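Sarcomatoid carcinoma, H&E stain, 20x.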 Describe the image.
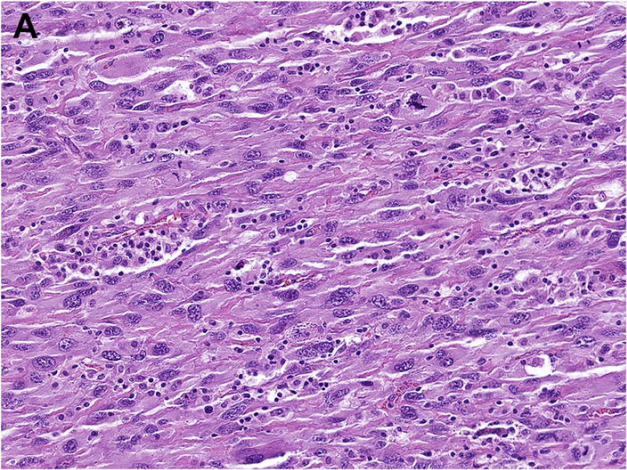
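The cells have ample pink cytoplasm and large, vesicular nuclei that differ strikingly in size and shape. Many nuclei carry a conspicuous nucleolus. Small dark round inflammatory cells are scattered between the tumor cells, and there is little intervening stroma.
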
